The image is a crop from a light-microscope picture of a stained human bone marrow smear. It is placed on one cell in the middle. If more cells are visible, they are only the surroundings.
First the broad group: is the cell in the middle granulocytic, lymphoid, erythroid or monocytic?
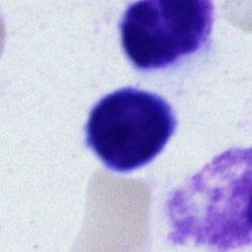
lymphoid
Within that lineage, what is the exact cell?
lymphocyte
